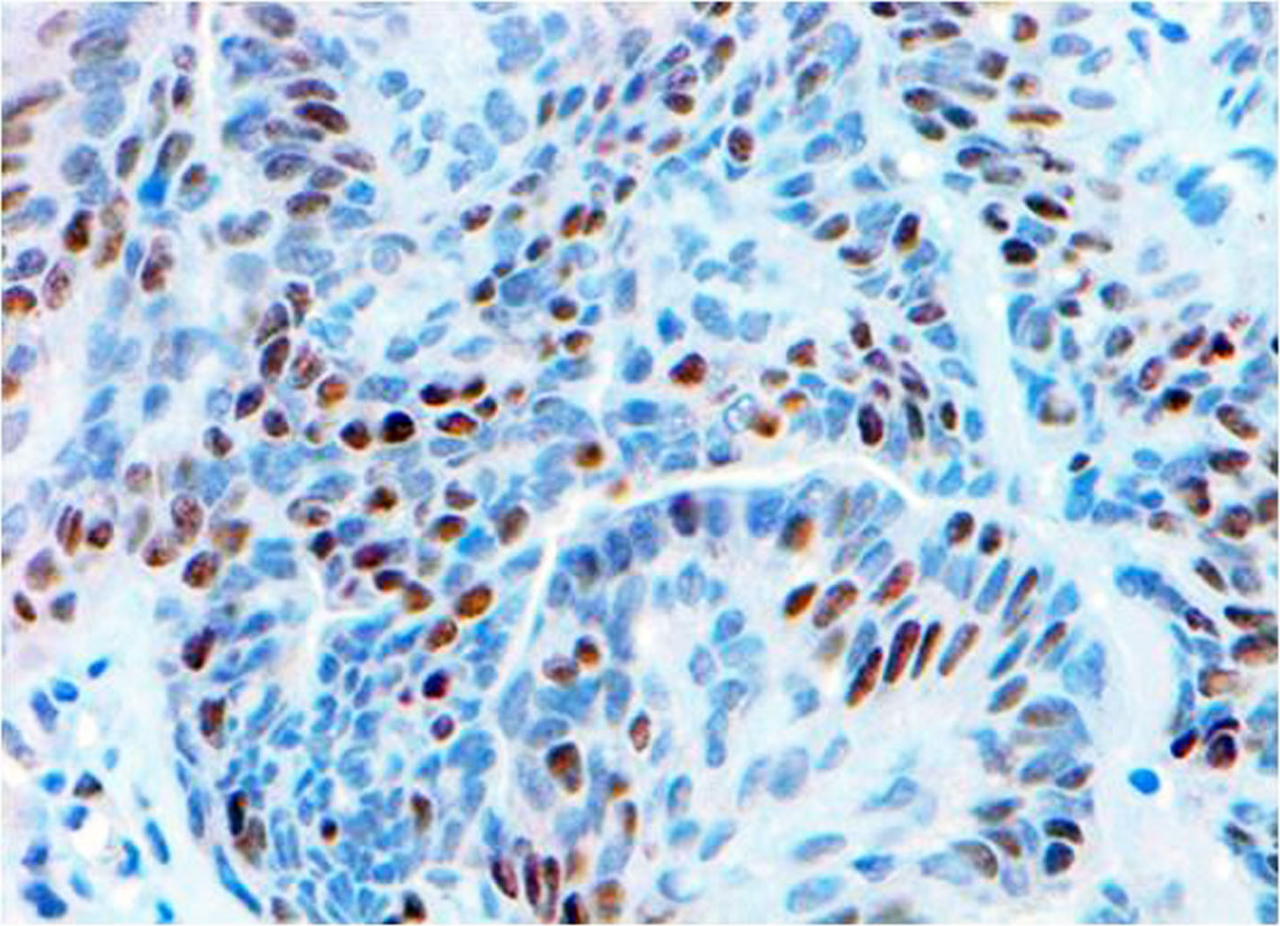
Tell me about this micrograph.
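This is carcinoma tissue made of crowded epithelial tumour cells arranged in nests and cords, separated by thin pale strands of stroma. The tumour cells have oval to elongated nuclei that lie close together, often in palisades along the edges of the nests, with scant, pale cytoplasm and indistinct cell borders. The brown colour is confined to the nuclei and is scattered unevenly through the nests, with no brown in the cytoplasm or the stroma.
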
